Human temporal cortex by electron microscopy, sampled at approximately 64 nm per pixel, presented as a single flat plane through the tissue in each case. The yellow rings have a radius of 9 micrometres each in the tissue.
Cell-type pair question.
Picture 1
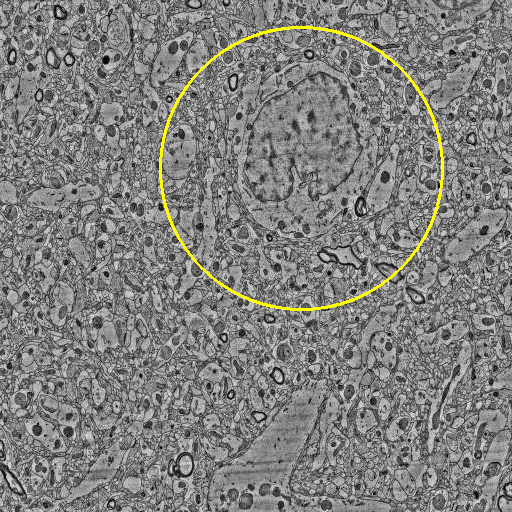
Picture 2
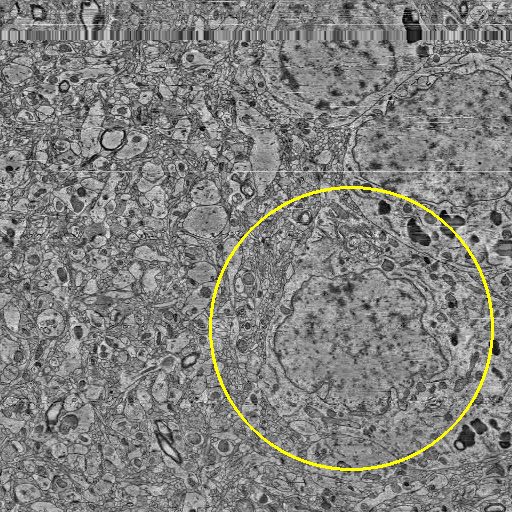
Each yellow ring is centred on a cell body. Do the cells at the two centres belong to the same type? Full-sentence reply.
Yes, the two cells belong to the same type.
